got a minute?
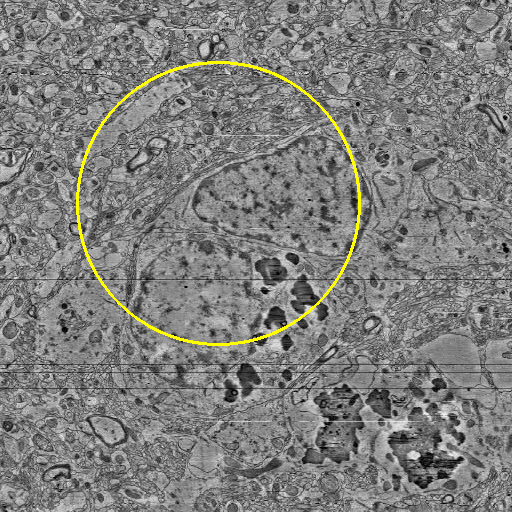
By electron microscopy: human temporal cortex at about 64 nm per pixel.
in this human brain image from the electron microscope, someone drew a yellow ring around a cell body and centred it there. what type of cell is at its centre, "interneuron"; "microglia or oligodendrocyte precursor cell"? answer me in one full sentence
It's a microglial cell or oligodendrocyte precursor cell at the middle of that yellow ring in the shot.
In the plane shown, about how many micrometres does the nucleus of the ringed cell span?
Roughly 11 by 8 micrometres in this plane, for the nucleus of the ringed cell.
